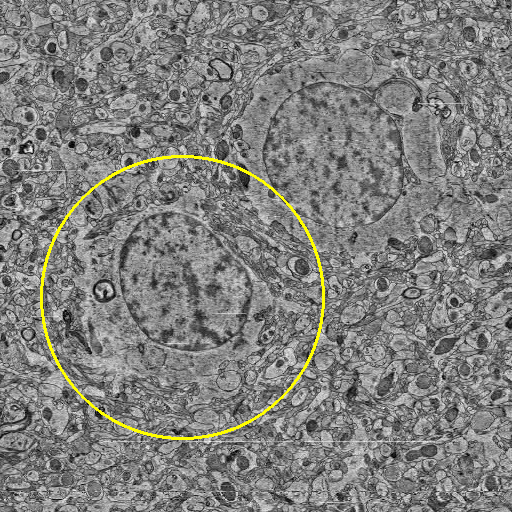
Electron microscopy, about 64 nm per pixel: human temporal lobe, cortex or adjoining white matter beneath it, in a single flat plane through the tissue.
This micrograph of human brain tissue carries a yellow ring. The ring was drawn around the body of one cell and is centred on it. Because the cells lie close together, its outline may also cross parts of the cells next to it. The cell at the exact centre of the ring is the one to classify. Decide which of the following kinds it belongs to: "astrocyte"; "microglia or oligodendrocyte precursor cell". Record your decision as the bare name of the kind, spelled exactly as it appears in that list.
astrocyte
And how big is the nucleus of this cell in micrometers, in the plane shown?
In this plane, approximately 10 by 8 micrometers.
